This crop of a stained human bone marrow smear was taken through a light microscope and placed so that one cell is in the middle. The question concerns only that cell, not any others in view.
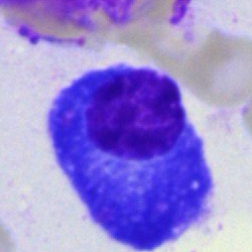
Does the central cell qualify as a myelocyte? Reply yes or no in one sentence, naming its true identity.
No, the central cell is not a myelocyte; it is a plasma cell.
